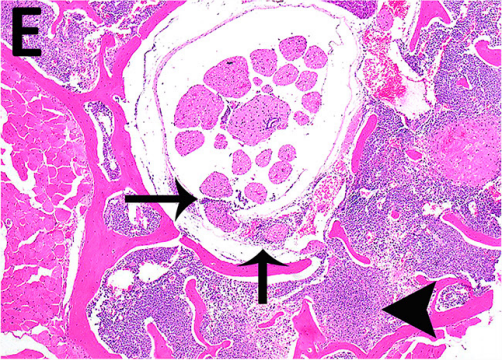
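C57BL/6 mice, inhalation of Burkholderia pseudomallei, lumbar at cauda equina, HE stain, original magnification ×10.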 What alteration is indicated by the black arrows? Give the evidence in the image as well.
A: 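Cross-sectioned nerve bundles within the vertebral canal. Purple cellular infiltrate along the edge of the nerve bundles at the arrows. So: suppurative perineuritis of spinal nerves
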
